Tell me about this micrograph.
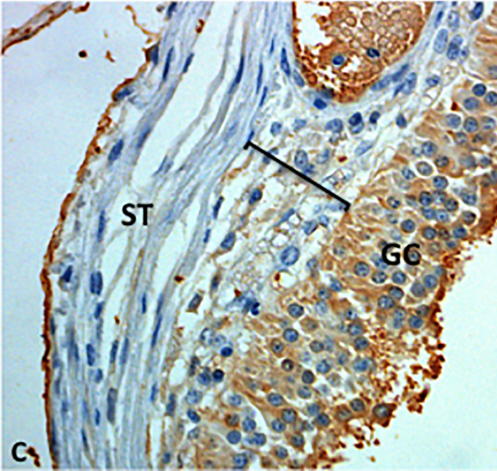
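Here the follicle wall is shown with a brown stain and blue nuclei. The granulosa layer on the right is a thick mass of rounded cells whose cytoplasm is stained brown around blue round nuclei, with the brown strongest toward the cavity border. Outside it lies the theca layer, a looser band of cells, some with faint brown around them. On the left the stroma shows elongated cells with slender blue nuclei in layered fibrous tissue that stays largely unstained, apart from brown along its outer edge.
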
